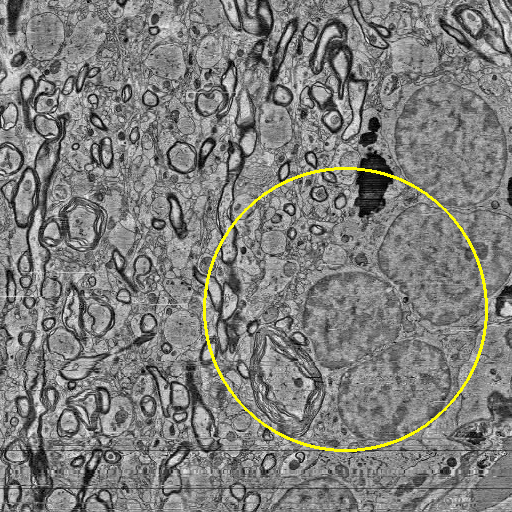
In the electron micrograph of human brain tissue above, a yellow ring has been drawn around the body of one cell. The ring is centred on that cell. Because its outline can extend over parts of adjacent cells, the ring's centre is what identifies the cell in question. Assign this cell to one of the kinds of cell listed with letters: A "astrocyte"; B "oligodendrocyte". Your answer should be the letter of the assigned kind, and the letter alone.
B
